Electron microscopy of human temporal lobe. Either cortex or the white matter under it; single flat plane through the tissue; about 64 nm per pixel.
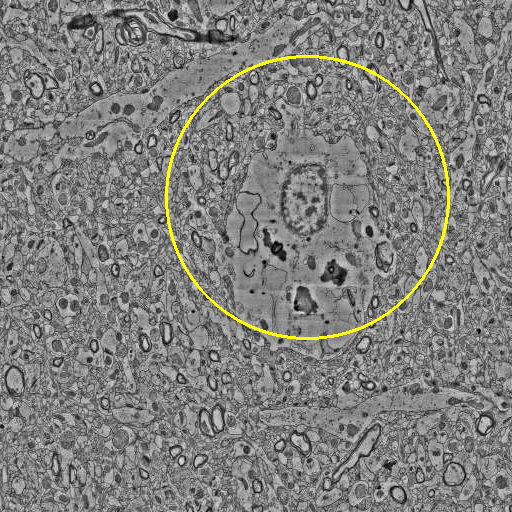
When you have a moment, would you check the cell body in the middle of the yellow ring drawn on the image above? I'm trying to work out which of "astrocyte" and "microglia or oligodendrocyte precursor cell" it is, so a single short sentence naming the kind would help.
This cell body belongs to an astrocyte.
